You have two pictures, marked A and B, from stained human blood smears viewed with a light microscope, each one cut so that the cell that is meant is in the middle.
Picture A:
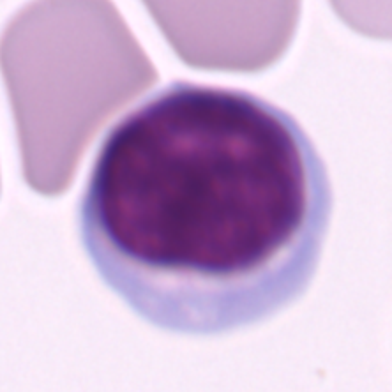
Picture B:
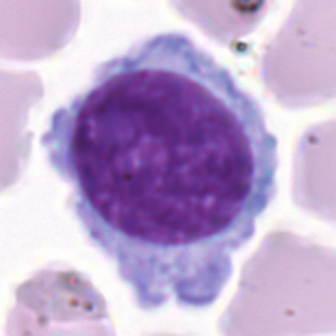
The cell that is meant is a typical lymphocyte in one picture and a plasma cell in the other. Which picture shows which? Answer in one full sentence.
Picture A is of a typical lymphocyte, and picture B is of a plasma cell.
